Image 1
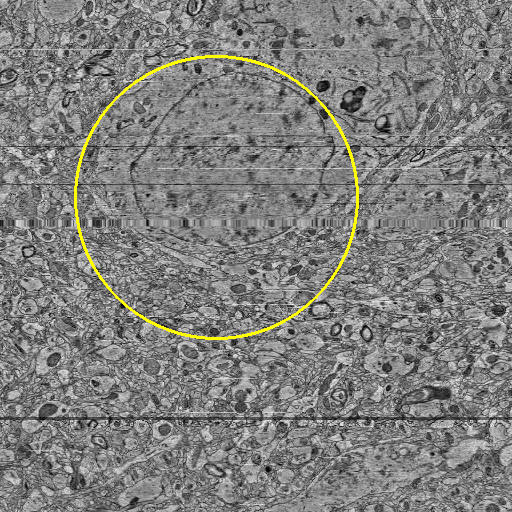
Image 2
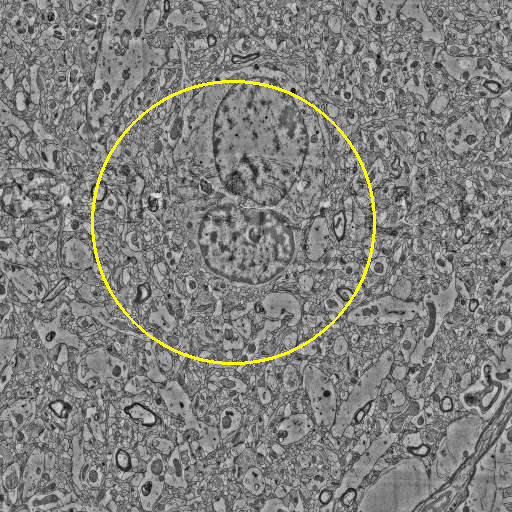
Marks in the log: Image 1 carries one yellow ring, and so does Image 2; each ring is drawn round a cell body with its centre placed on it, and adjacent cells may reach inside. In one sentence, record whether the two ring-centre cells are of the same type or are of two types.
The two cells at the ring centres, one in each image, are of two types.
